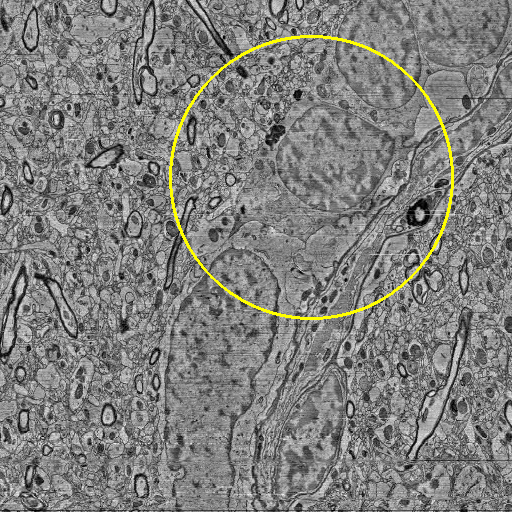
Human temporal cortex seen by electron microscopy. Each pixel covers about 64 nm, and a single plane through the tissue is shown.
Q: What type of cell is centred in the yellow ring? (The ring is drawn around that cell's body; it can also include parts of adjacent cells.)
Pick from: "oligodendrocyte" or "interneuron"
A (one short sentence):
The yellow ring is centred on an oligodendrocyte.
